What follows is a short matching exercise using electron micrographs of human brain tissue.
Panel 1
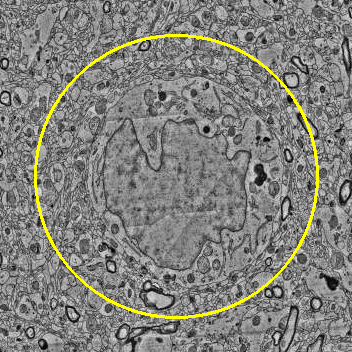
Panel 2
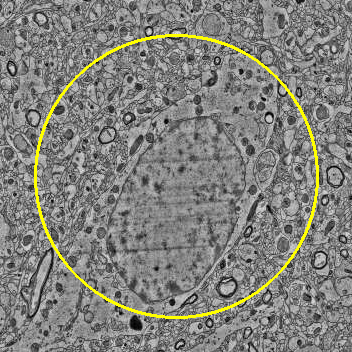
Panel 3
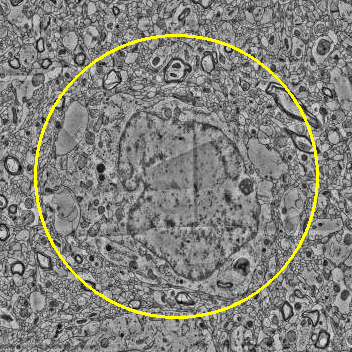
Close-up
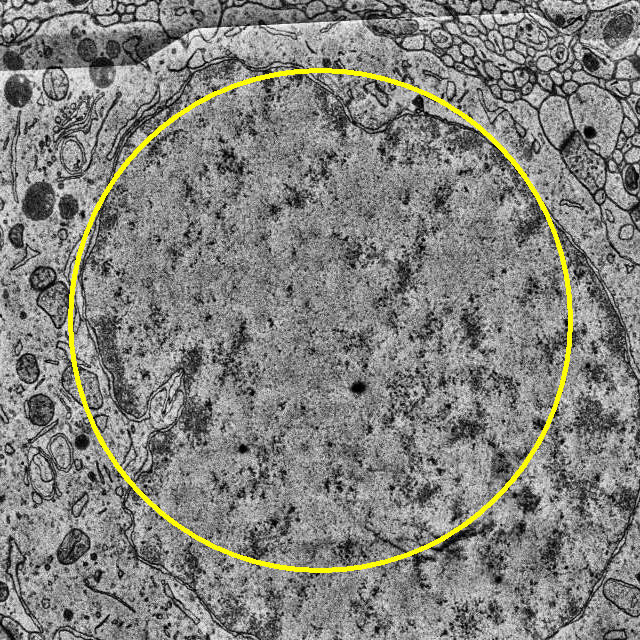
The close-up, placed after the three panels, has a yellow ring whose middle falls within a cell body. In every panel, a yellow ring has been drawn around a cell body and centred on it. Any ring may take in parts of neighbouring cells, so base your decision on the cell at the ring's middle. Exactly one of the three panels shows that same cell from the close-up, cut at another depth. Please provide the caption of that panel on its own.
Panel 3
